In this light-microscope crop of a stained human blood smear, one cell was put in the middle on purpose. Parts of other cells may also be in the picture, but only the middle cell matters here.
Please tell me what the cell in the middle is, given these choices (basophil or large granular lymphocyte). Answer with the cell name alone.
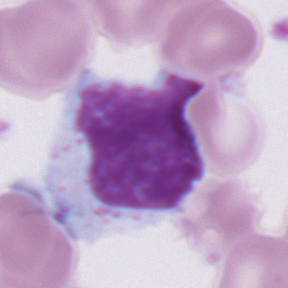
large granular lymphocyte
